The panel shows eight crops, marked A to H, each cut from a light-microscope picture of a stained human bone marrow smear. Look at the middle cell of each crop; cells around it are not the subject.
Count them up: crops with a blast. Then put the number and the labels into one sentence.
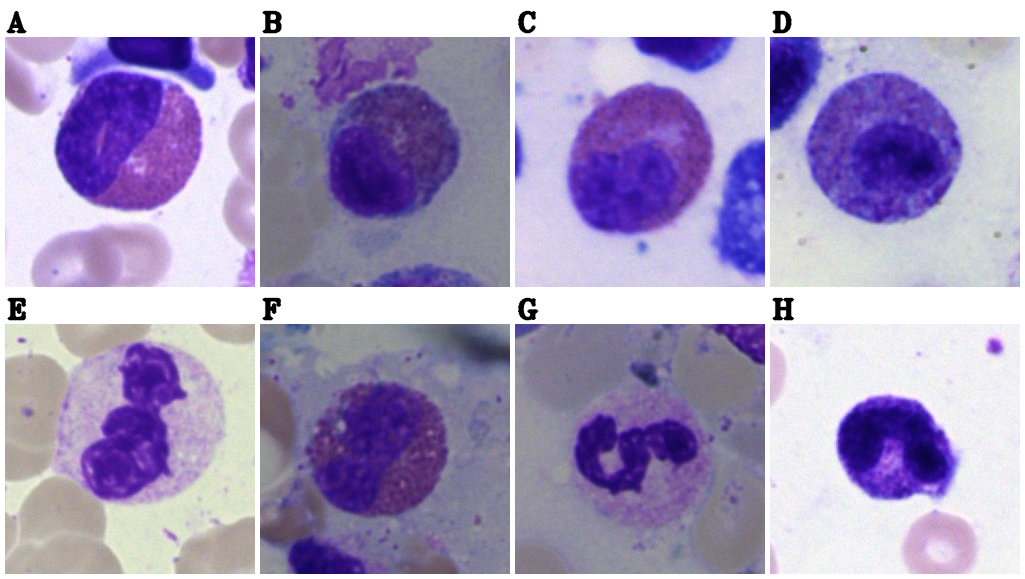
Not one crop shows blasts; the count is therefore zero.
